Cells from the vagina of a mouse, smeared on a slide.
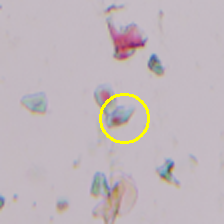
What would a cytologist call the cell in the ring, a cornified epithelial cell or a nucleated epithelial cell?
A cytologist would call it a nucleated epithelial cell.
